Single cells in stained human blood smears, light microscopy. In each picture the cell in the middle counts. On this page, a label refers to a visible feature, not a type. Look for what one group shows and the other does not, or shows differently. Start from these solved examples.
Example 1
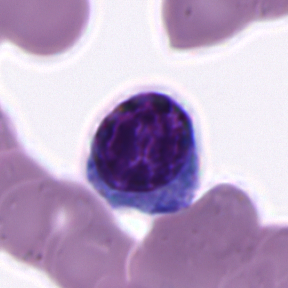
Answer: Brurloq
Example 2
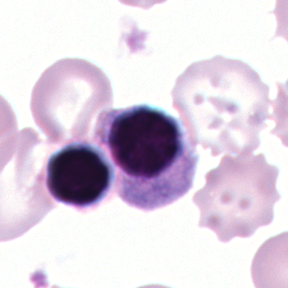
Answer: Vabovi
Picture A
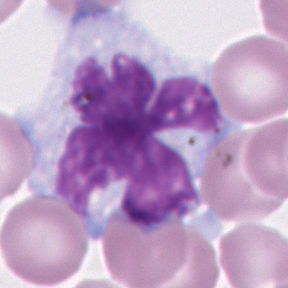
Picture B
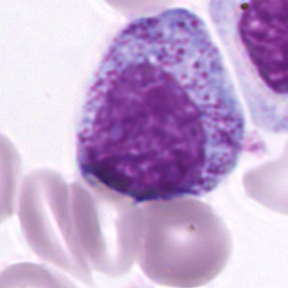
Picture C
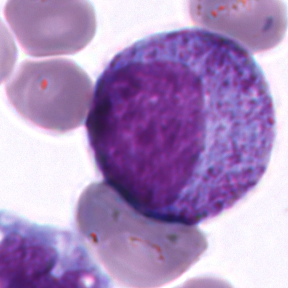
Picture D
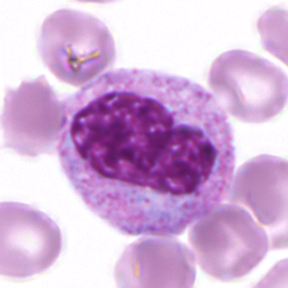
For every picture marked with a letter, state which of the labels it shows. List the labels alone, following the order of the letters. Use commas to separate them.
Vabovi, Vabovi, Vabovi, Vabovi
